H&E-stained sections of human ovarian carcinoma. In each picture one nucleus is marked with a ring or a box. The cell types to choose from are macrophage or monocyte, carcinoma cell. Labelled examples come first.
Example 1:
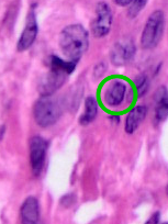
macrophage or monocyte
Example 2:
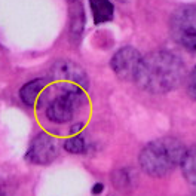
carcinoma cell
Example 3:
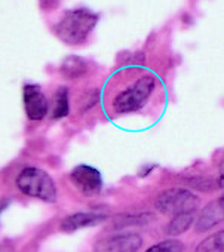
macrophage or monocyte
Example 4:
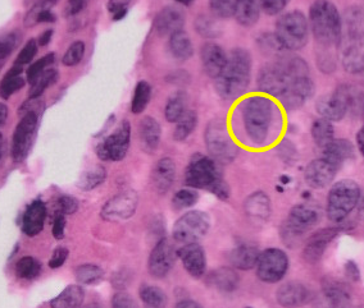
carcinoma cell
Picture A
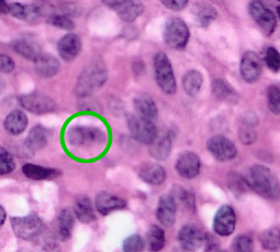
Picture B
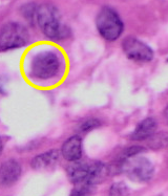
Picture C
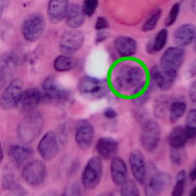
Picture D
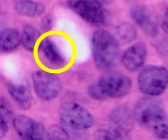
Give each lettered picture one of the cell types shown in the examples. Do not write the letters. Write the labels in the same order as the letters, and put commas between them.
macrophage or monocyte, carcinoma cell, carcinoma cell, carcinoma cell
